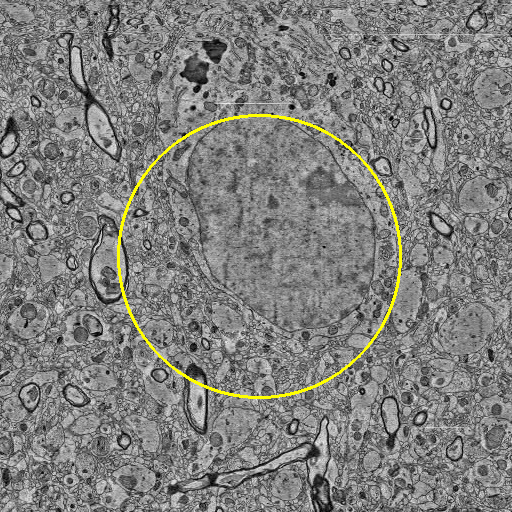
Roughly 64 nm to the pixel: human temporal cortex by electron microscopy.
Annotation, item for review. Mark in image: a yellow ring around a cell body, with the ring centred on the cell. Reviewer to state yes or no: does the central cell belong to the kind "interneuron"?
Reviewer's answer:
yes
